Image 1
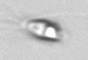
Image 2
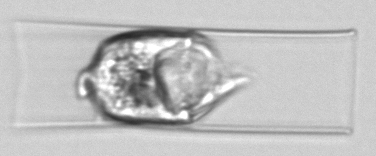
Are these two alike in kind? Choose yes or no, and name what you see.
No. First Chrysochromulina parkeae, second a tintinnid.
